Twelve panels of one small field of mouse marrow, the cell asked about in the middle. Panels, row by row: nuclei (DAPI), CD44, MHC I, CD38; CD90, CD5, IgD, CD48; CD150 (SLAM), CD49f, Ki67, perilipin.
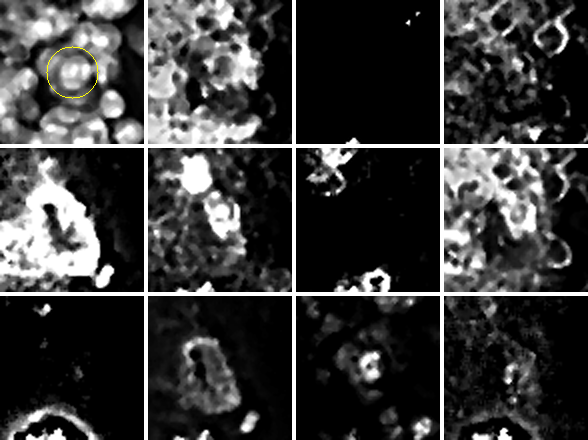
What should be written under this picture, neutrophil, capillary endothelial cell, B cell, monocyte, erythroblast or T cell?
T cell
